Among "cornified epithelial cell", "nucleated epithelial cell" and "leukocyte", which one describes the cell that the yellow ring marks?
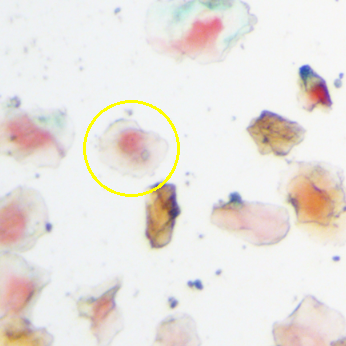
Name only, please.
nucleated epithelial cell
